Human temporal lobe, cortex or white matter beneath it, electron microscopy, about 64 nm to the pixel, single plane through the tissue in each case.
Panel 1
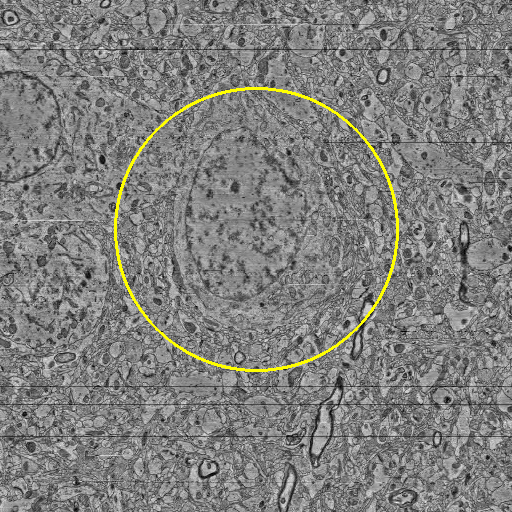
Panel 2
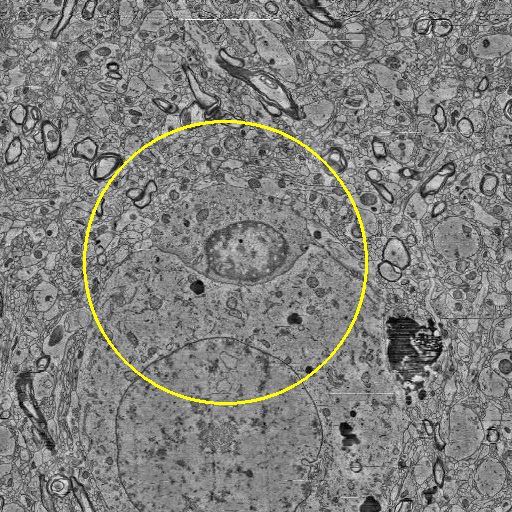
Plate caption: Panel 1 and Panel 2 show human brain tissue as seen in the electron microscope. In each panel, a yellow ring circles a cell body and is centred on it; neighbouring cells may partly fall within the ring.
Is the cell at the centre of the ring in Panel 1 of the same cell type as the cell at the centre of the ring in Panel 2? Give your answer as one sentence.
No, the two cells are of two types.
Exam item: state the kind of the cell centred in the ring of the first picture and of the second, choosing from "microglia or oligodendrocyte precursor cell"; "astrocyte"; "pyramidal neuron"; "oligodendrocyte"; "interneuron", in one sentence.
The first picture shows an interneuron at the ring centre and the second shows an oligodendrocyte.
